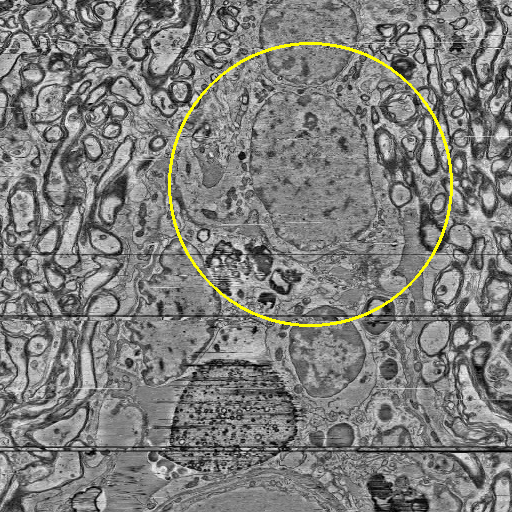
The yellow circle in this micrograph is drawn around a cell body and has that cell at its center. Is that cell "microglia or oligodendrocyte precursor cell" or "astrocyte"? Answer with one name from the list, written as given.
astrocyte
